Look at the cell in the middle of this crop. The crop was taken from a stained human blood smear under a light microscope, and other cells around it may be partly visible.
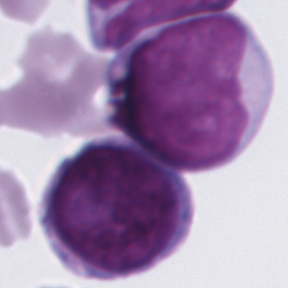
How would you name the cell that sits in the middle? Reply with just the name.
myeloblast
